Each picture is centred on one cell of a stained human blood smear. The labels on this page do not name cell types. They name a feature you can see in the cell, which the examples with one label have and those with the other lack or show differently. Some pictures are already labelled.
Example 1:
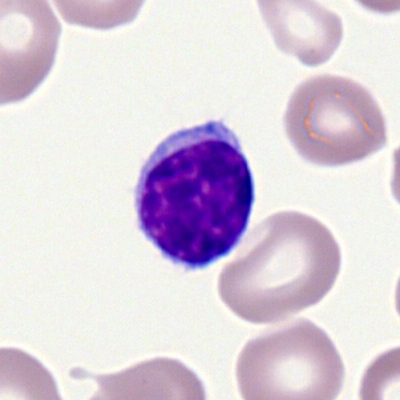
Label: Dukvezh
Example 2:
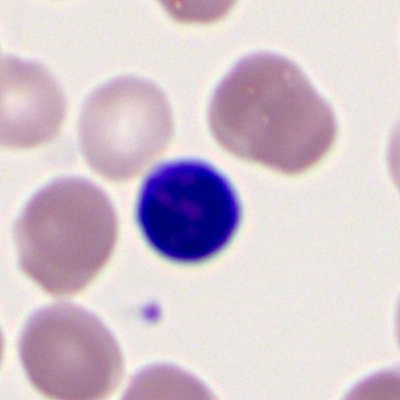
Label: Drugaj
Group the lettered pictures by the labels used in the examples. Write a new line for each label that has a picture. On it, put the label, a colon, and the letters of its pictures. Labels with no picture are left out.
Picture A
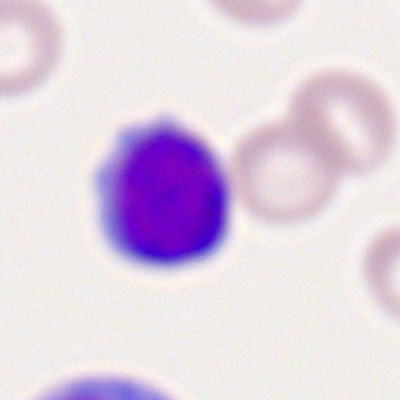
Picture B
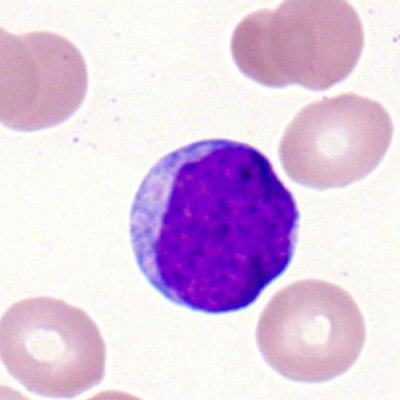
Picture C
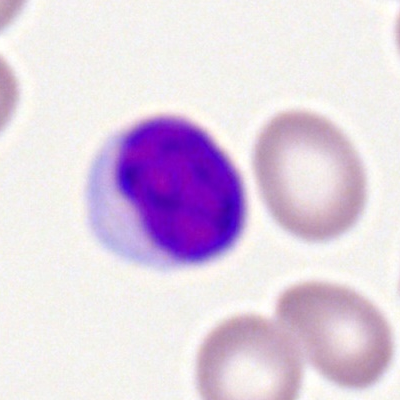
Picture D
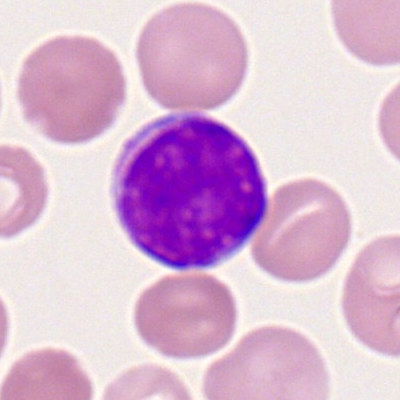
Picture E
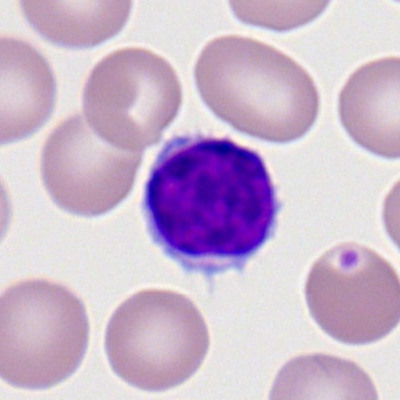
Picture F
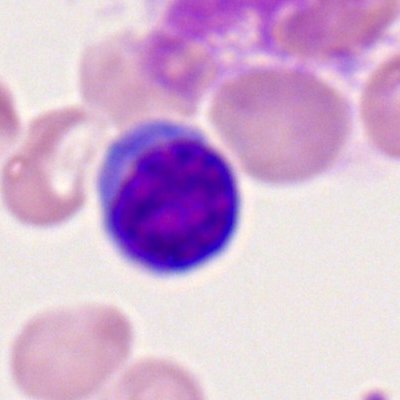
Dukvezh: A, E
Drugaj: B, C, D, F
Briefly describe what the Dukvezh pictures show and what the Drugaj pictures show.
Dukvezh, ragged outline or projections; Drugaj, smooth outline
